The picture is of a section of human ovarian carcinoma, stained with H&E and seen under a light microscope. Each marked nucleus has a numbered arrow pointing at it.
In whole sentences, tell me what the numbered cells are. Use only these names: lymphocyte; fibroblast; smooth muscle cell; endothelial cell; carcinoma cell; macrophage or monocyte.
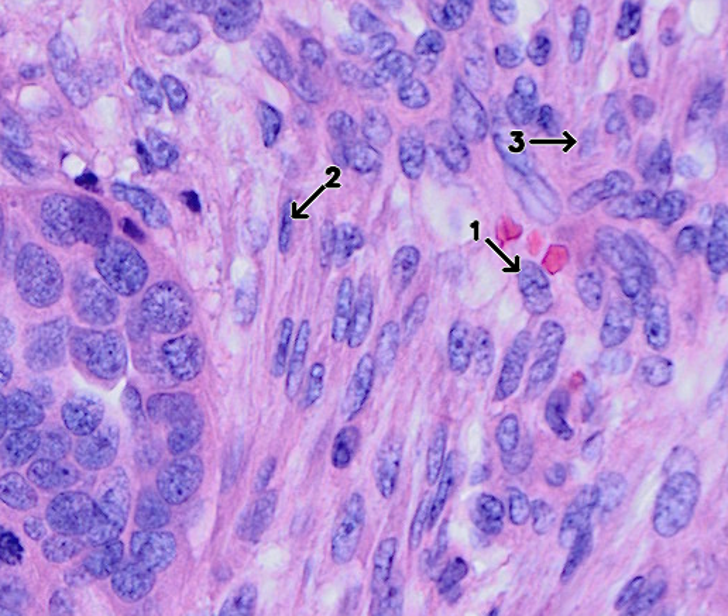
Cell 1 is an endothelial cell, cell 2 is a fibroblast and cell 3 is a fibroblast.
